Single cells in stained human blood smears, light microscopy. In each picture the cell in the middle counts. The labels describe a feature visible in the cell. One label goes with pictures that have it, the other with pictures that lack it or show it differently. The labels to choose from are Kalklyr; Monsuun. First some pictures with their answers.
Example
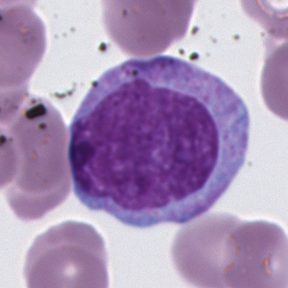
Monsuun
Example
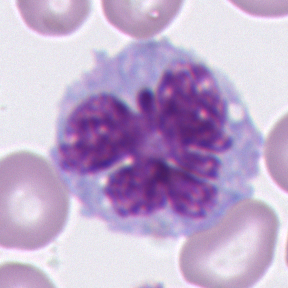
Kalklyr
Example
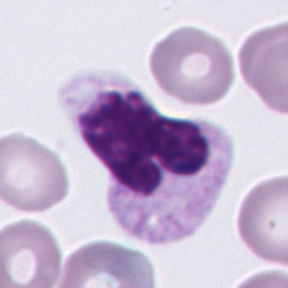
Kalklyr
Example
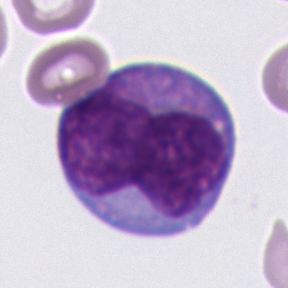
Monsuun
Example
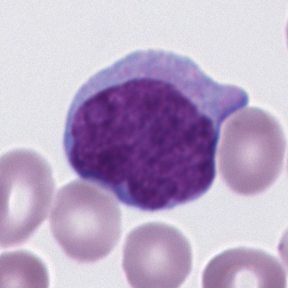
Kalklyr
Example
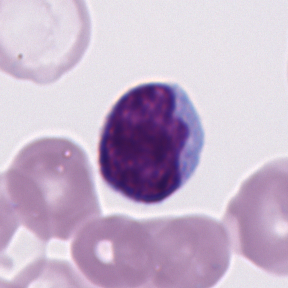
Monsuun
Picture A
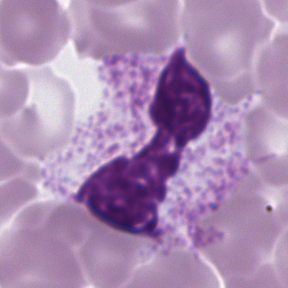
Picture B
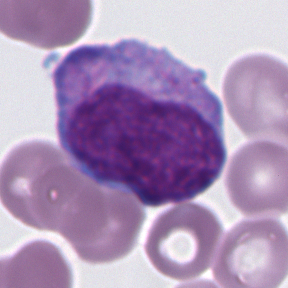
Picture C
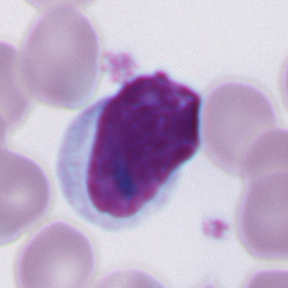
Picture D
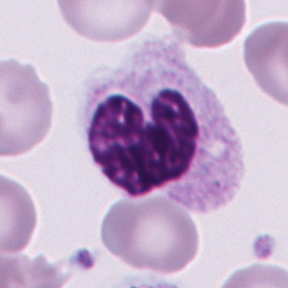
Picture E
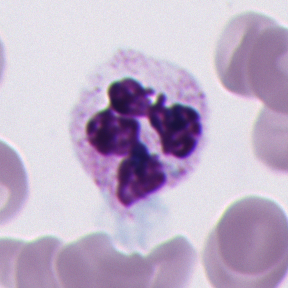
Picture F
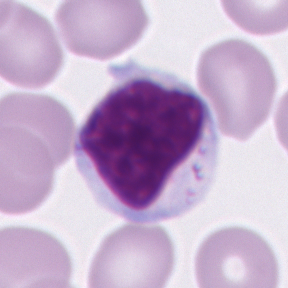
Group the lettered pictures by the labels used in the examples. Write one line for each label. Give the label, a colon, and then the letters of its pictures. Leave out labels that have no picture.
Kalklyr: A, B, D, E, F
Monsuun: C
